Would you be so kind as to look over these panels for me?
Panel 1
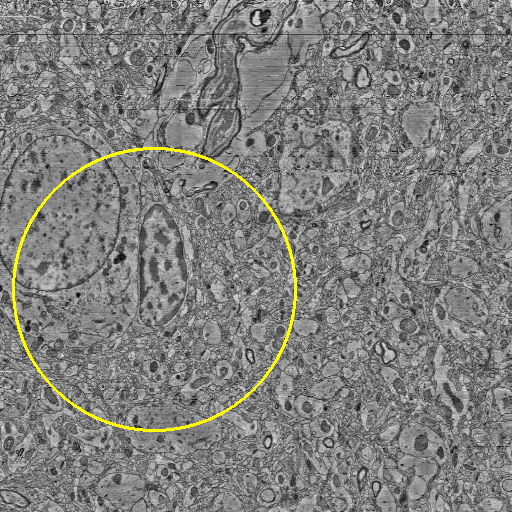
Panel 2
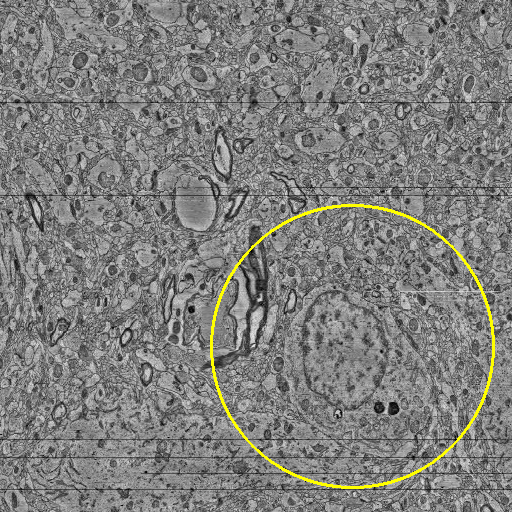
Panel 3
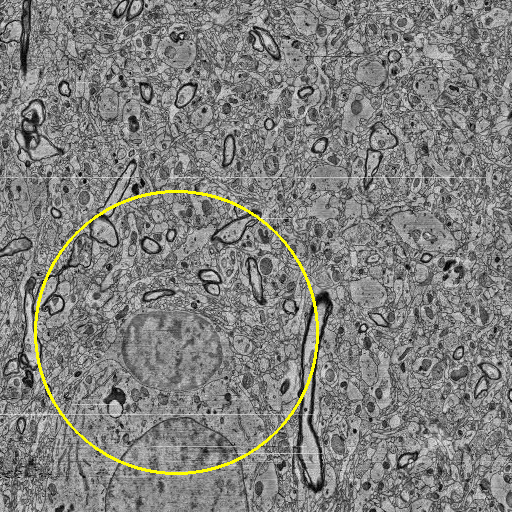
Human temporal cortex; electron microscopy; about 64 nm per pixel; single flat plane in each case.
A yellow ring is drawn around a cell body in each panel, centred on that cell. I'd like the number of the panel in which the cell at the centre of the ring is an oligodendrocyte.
3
